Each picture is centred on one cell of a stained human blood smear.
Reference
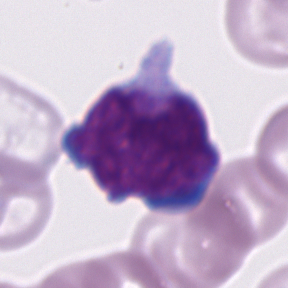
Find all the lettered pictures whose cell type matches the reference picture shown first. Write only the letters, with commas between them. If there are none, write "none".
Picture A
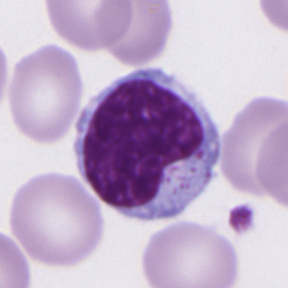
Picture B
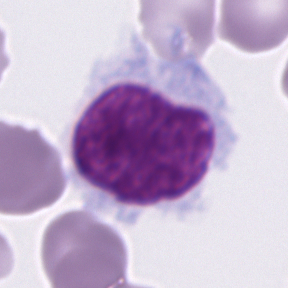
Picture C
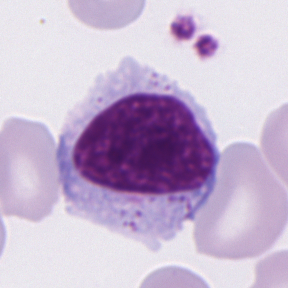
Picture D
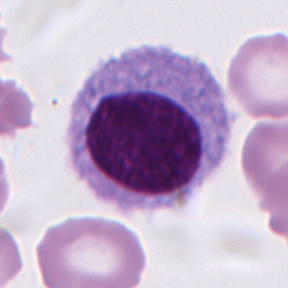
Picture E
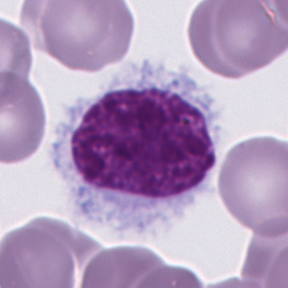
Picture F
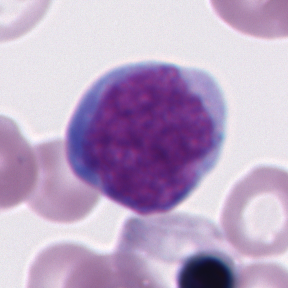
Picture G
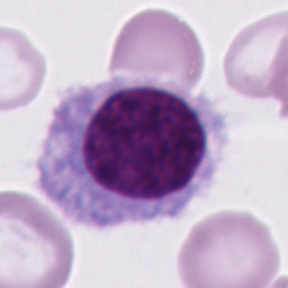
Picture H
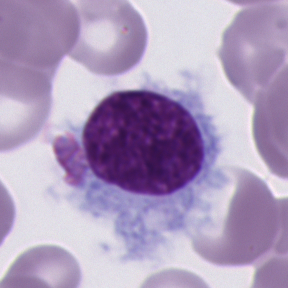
F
